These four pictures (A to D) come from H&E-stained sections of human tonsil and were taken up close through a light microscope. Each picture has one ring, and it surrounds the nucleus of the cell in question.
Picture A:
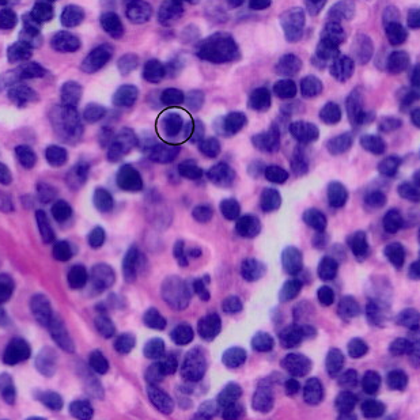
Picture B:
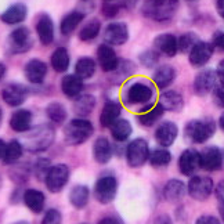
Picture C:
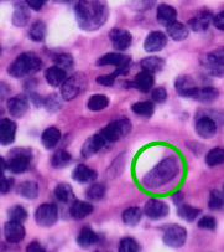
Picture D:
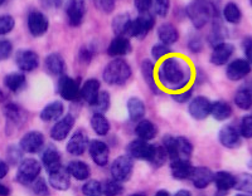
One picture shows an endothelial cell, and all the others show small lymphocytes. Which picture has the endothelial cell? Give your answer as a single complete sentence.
The cell in picture C is the endothelial cell.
